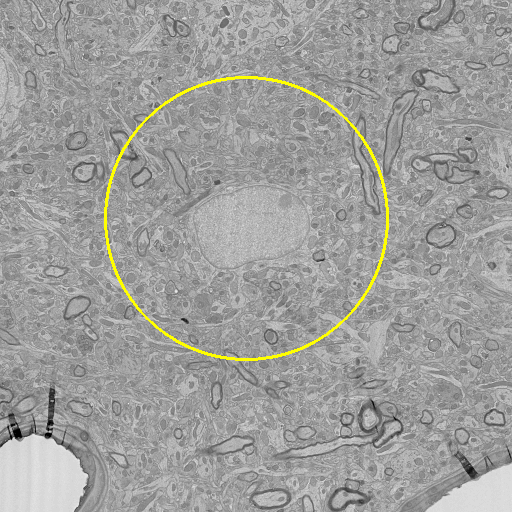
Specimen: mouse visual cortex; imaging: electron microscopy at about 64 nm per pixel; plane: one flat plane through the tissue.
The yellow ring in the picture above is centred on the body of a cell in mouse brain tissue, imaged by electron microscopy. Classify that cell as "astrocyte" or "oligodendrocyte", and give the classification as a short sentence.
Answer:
The cell in the middle of the ring is an astrocyte.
